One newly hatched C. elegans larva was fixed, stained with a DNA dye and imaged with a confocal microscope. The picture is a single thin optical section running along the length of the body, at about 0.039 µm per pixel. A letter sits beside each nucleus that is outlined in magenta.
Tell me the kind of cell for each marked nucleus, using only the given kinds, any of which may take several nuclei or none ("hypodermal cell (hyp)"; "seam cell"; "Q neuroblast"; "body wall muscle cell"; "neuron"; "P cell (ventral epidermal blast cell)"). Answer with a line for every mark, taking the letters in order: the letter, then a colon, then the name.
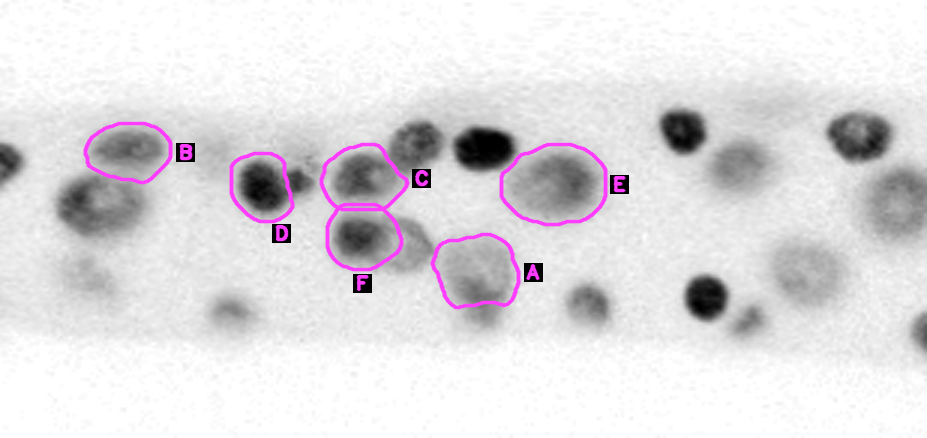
A: hypodermal cell (hyp)
B: body wall muscle cell
C: P cell (ventral epidermal blast cell)
D: neuron
E: seam cell
F: neuron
